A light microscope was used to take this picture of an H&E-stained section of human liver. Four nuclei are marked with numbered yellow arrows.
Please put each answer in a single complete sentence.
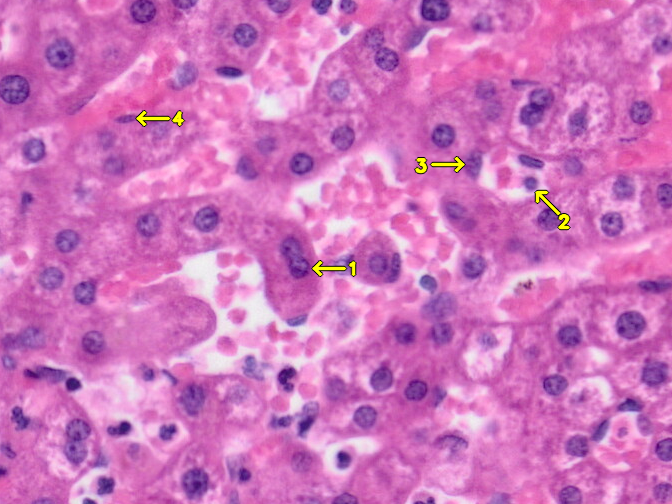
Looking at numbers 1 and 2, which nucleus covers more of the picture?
It is nucleus 1, which covers about 1.5 times the area of nucleus 2.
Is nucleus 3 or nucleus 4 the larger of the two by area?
Of the two, number 3 is bigger and takes up about 3 times the area of number 4.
